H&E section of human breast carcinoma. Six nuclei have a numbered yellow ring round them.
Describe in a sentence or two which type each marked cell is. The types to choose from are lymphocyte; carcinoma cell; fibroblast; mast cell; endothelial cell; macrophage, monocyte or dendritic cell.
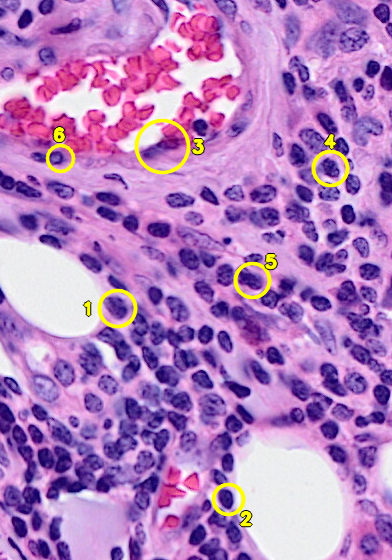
Cell 1 is a lymphocyte, cell 2 is a lymphocyte, cell 3 is an endothelial cell, cell 4 is a lymphocyte, cell 5 is a lymphocyte and cell 6 is an endothelial cell.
